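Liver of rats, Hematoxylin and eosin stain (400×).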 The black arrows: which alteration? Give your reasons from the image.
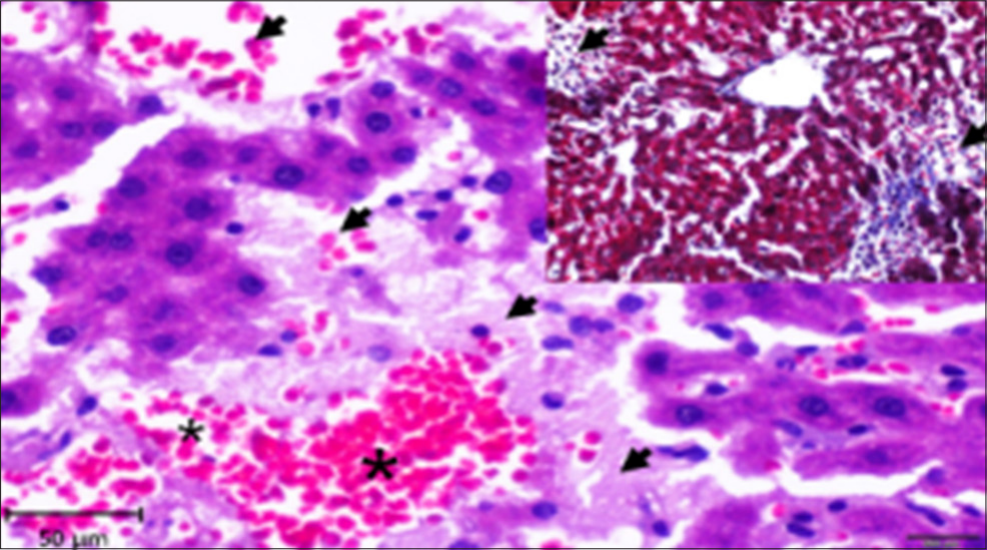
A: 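Several arrows point to pale pink, washed-out areas. These areas lack the intact polygonal cell outlines and round nuclei of the neighbouring purple cell cords. Scattered small dark nuclei and red cells lie within the pale areas. That points to this answer: necrotic foci.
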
